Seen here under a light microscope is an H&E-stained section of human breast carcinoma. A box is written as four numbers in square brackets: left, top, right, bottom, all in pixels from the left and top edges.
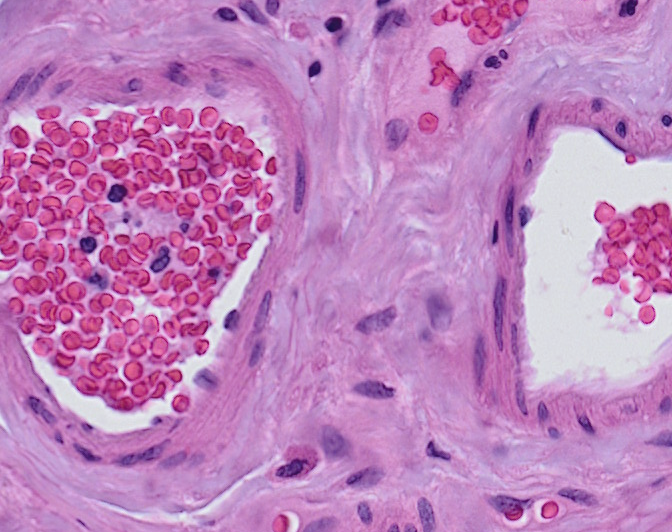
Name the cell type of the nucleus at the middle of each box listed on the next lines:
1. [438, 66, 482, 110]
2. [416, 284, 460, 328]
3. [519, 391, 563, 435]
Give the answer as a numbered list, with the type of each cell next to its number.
1. endothelial cell
2. fibroblast
3. endothelial cell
